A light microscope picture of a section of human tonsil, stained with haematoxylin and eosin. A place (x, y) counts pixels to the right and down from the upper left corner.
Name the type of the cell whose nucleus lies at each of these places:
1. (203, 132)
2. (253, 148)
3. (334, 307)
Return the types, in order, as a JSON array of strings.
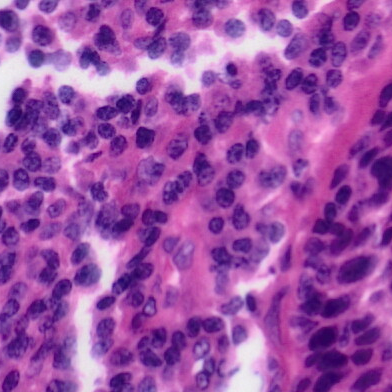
["plasma cell", "plasma cell", "squamous epithelial cell"]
